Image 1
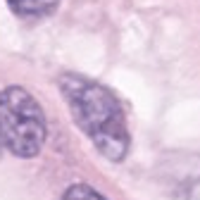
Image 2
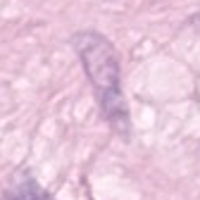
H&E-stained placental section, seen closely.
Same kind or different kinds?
Different: the first is a cytotrophoblast, the second a vascular myocyte.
